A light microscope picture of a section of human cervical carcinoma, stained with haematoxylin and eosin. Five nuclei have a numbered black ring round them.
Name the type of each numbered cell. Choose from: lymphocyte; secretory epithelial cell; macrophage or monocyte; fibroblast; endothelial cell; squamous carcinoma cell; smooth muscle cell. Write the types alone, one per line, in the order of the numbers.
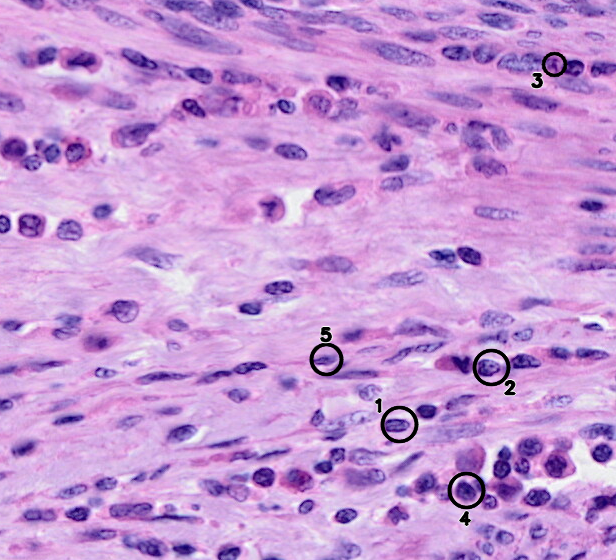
lymphocyte
lymphocyte
endothelial cell
lymphocyte
fibroblast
